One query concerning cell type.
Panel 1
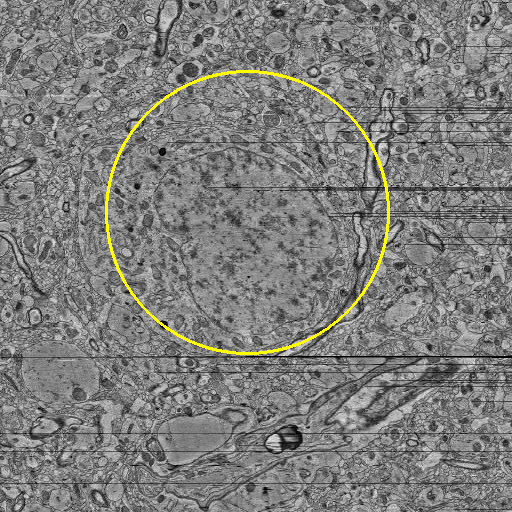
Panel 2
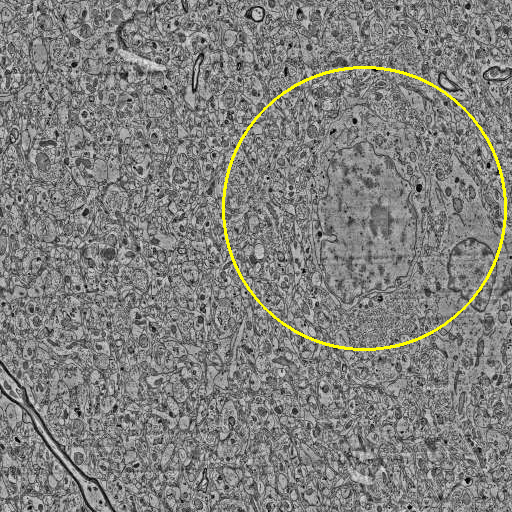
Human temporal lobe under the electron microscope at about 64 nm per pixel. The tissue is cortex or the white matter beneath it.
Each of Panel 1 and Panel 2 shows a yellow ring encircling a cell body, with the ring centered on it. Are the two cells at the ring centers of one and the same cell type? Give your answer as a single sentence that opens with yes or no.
Yes, the cell centered in Panel 1 and the one in Panel 2 share a type.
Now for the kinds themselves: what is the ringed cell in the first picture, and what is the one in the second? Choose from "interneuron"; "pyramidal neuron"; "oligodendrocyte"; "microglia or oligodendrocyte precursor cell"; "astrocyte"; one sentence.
In both pictures the ring is centred on an interneuron.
